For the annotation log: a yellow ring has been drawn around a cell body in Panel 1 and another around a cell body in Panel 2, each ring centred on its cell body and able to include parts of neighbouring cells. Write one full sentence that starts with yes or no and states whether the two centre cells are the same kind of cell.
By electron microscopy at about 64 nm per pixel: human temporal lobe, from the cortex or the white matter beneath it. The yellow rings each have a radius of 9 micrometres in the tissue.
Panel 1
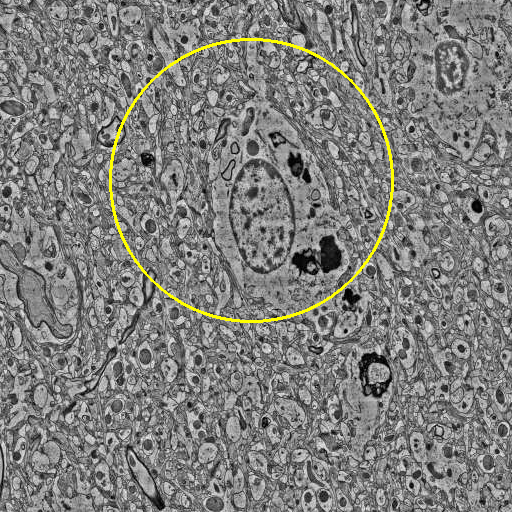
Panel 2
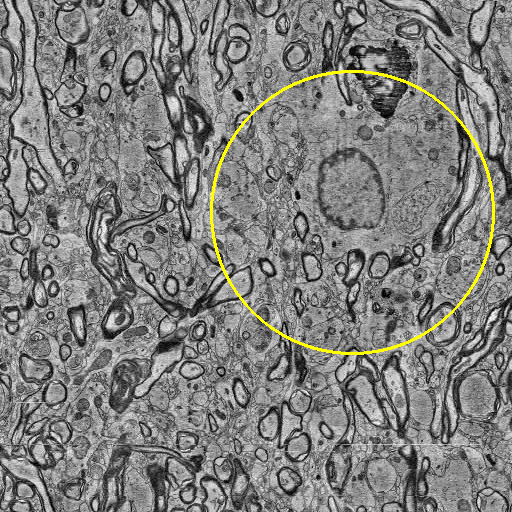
Yes, the two centre cells are the same kind of cell.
